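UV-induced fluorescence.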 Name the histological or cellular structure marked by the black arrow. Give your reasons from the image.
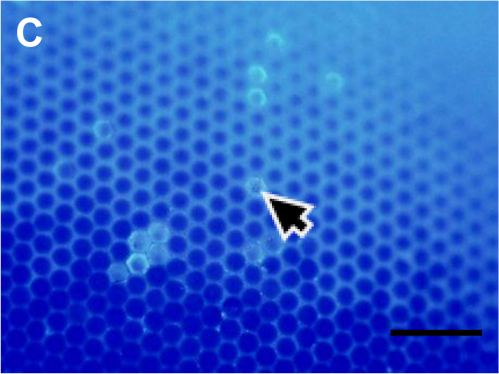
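The field is a regular honeycomb lattice of round units. The arrow points to one unit of this lattice. A few units glow pale blue-green against the darker blue ones. That points to this answer: ommatidium.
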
